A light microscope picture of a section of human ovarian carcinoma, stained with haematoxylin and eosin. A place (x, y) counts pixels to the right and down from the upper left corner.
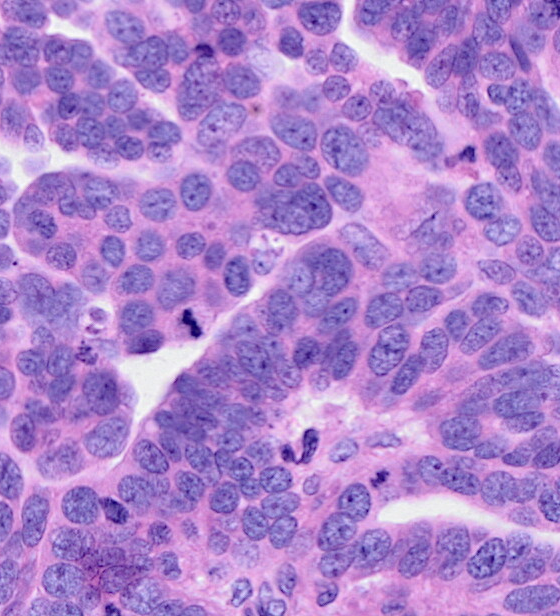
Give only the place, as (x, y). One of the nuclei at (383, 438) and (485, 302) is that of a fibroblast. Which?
(383, 438)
